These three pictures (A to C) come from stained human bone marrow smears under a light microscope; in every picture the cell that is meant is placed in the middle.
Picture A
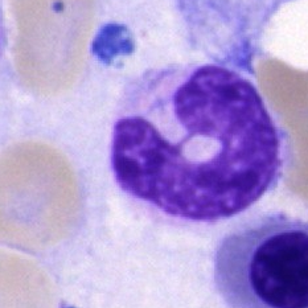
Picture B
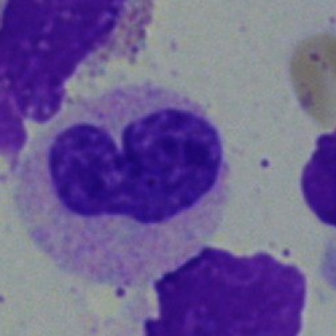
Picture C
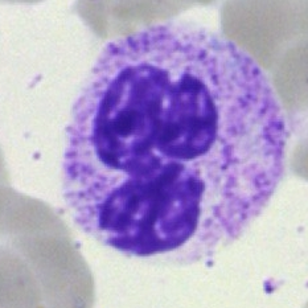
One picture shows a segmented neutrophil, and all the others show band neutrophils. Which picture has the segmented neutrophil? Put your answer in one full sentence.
The cell in picture C is the segmented neutrophil.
